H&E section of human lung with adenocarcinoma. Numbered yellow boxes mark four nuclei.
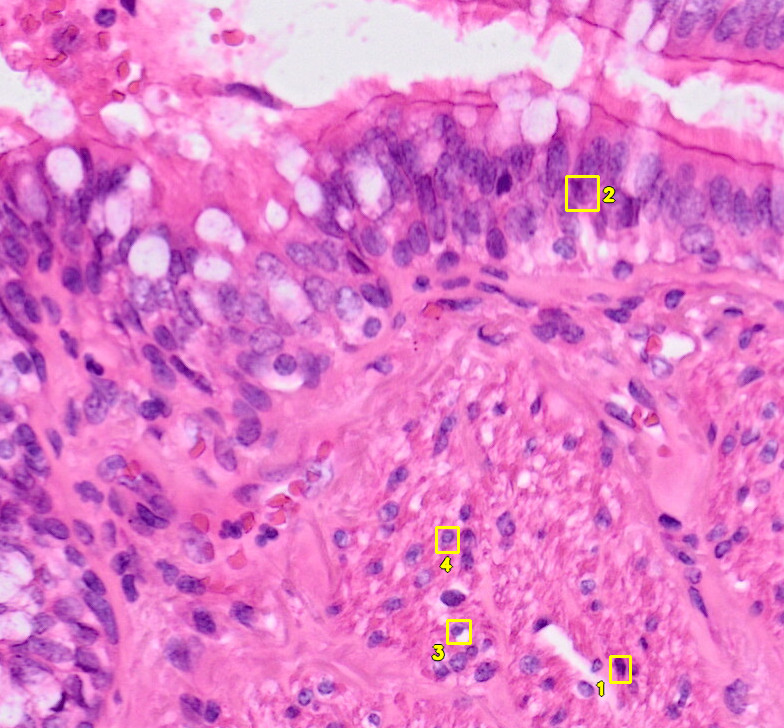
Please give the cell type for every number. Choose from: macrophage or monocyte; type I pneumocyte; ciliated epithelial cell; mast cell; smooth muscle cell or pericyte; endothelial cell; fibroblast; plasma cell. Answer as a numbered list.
1. smooth muscle cell or pericyte
2. ciliated epithelial cell
3. smooth muscle cell or pericyte
4. smooth muscle cell or pericyte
